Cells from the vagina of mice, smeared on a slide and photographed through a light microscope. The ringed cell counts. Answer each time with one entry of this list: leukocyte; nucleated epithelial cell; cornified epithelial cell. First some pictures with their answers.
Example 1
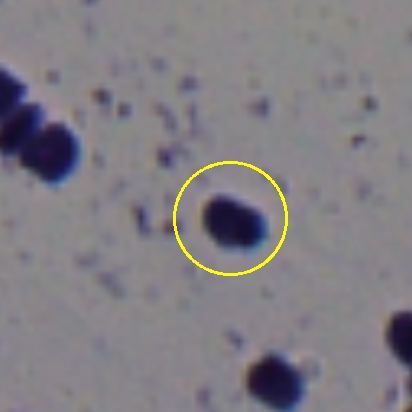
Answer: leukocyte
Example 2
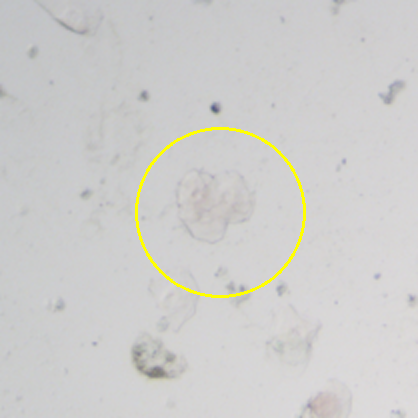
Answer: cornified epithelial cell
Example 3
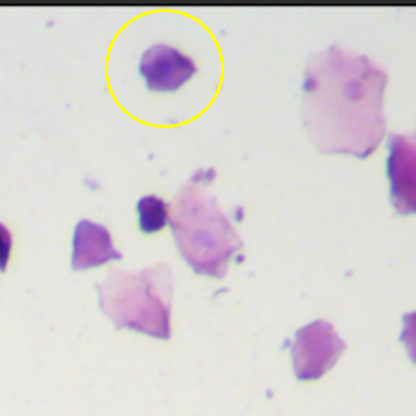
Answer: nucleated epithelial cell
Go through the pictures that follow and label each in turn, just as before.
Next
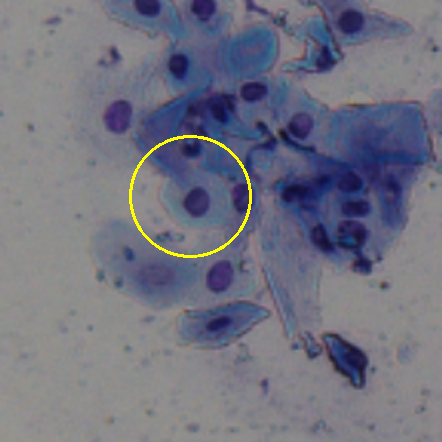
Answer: nucleated epithelial cell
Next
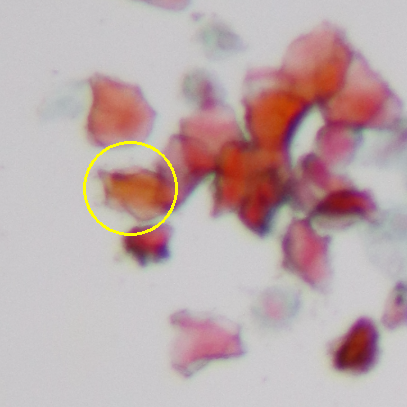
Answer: cornified epithelial cell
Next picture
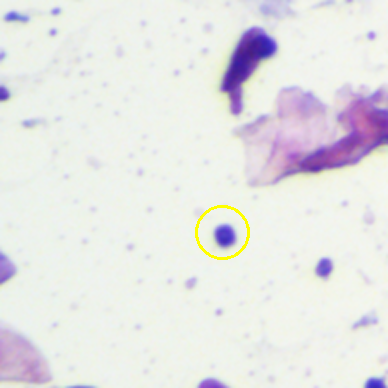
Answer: leukocyte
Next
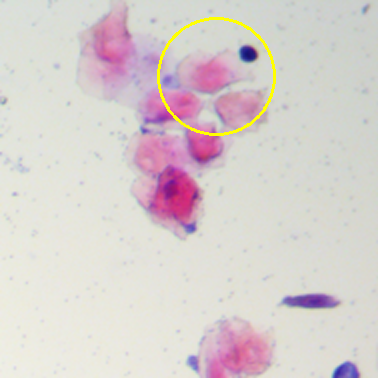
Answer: cornified epithelial cell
